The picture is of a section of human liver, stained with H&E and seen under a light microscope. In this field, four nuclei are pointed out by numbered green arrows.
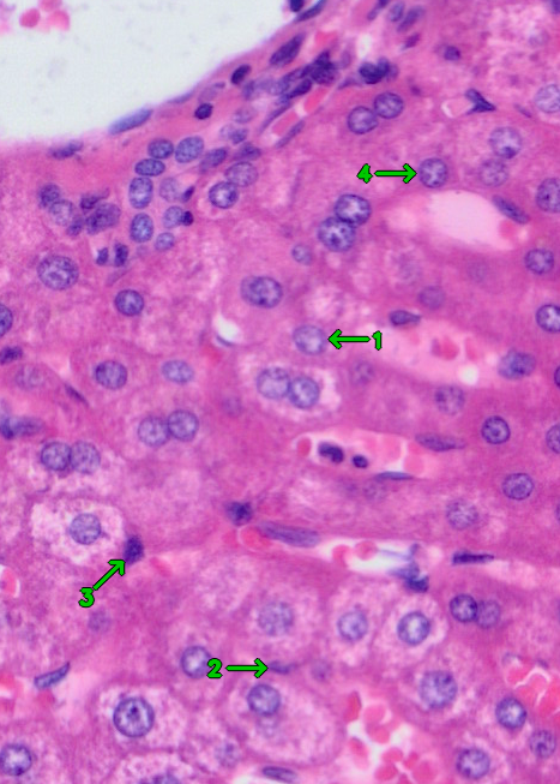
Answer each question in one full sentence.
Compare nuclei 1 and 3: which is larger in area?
Number 1 is larger; its area is about 1.5 times that of number 3.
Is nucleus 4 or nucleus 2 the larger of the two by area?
Nucleus 4 is the larger one, covering about 2.5 times the area of nucleus 2.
